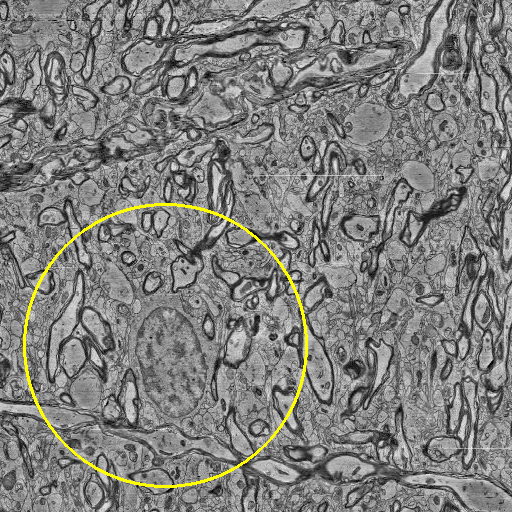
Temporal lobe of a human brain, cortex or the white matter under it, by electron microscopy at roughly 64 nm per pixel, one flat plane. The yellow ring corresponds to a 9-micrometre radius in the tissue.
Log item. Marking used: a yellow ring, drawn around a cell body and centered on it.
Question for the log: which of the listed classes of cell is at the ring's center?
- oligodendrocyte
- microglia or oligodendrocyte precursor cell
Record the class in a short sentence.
At the center of the ring lies an oligodendrocyte.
